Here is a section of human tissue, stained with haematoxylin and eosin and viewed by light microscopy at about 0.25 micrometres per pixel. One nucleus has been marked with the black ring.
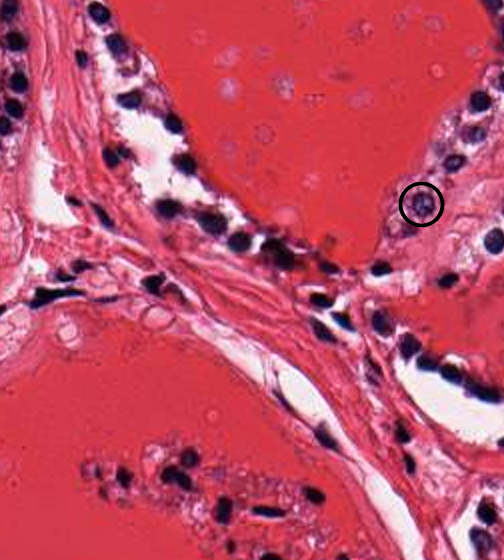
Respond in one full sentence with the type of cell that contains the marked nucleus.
Marked in this picture is the nucleus of a thyroid follicular cell.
